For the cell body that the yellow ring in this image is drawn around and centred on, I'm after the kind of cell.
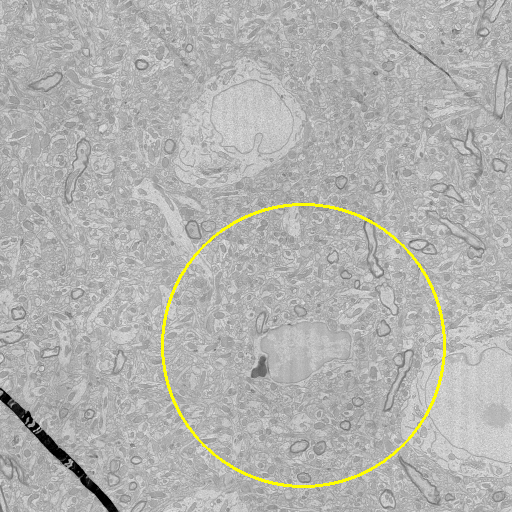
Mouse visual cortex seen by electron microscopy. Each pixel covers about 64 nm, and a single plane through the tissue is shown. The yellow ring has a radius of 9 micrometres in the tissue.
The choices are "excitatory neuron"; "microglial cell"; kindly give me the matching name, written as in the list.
microglial cell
